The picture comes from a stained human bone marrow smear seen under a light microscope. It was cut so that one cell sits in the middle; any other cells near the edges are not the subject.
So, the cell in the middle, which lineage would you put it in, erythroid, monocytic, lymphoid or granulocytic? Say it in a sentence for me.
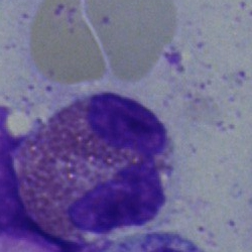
Within the granulocytic lineage lies the cell at the center of the crop.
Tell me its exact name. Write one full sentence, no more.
The cell in the middle of this crop is an eosinophil.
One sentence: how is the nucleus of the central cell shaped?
In short, this nucleus is segmented into two or more parts.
